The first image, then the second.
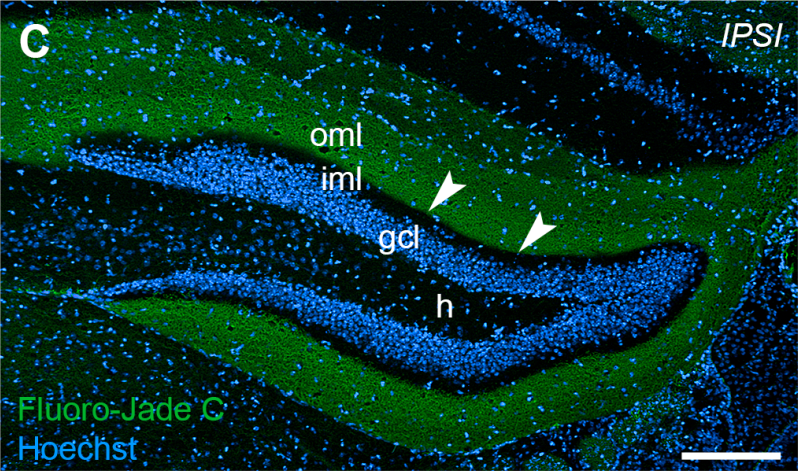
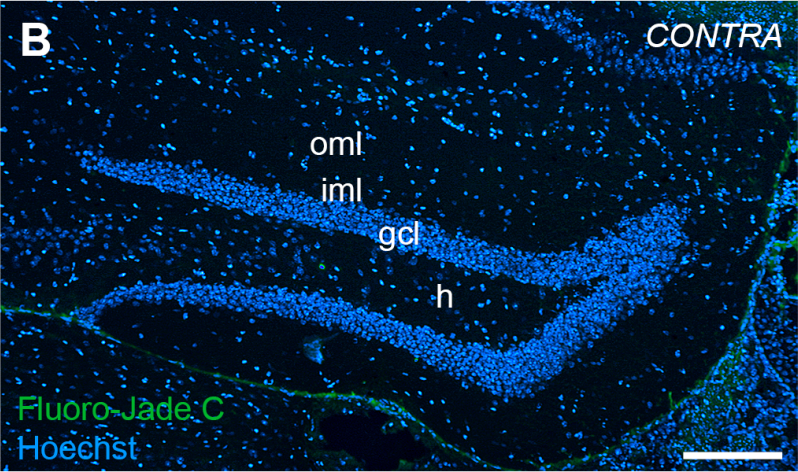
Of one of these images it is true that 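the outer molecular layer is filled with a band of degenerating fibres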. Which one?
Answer: The first image.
